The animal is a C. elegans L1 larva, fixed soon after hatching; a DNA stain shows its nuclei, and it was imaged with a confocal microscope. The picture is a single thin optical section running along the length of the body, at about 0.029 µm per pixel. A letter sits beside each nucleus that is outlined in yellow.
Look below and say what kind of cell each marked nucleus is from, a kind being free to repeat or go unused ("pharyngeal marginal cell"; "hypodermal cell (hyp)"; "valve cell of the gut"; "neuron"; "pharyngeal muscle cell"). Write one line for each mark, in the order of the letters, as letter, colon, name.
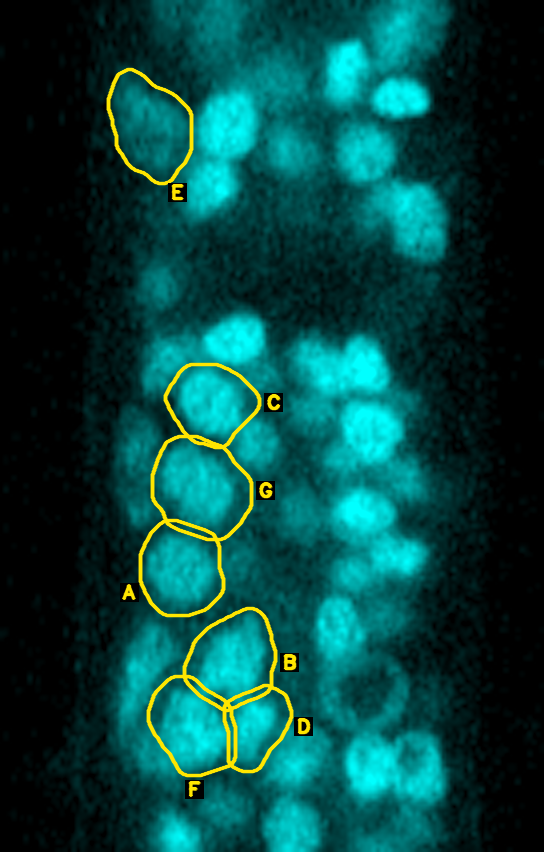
A: neuron
B: pharyngeal marginal cell
C: neuron
D: pharyngeal muscle cell
E: hypodermal cell (hyp)
F: pharyngeal muscle cell
G: neuron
